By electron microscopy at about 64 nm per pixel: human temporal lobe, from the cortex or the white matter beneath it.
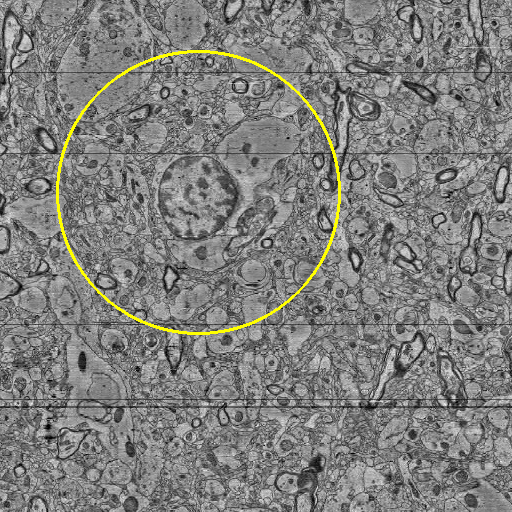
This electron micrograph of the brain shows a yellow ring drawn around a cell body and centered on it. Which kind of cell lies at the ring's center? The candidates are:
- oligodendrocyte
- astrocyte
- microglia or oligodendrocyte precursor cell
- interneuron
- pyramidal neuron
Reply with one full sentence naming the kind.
The cell lying at the ring's center in this micrograph is a microglial cell or oligodendrocyte precursor cell.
